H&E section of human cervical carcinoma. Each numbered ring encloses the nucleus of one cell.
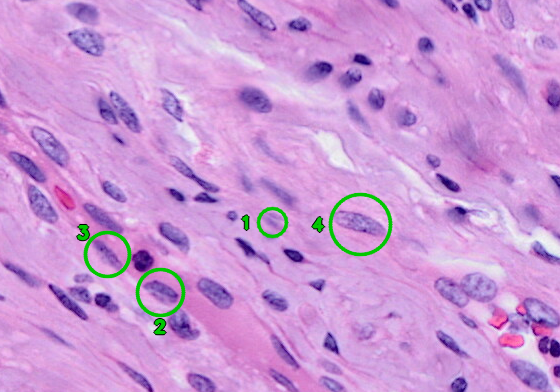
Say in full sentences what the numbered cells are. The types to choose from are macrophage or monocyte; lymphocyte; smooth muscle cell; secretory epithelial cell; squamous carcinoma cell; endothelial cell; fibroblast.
Cell 1 is a fibroblast. Cells 2 and 3 are endothelial cells. Cell 4 is a smooth muscle cell.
